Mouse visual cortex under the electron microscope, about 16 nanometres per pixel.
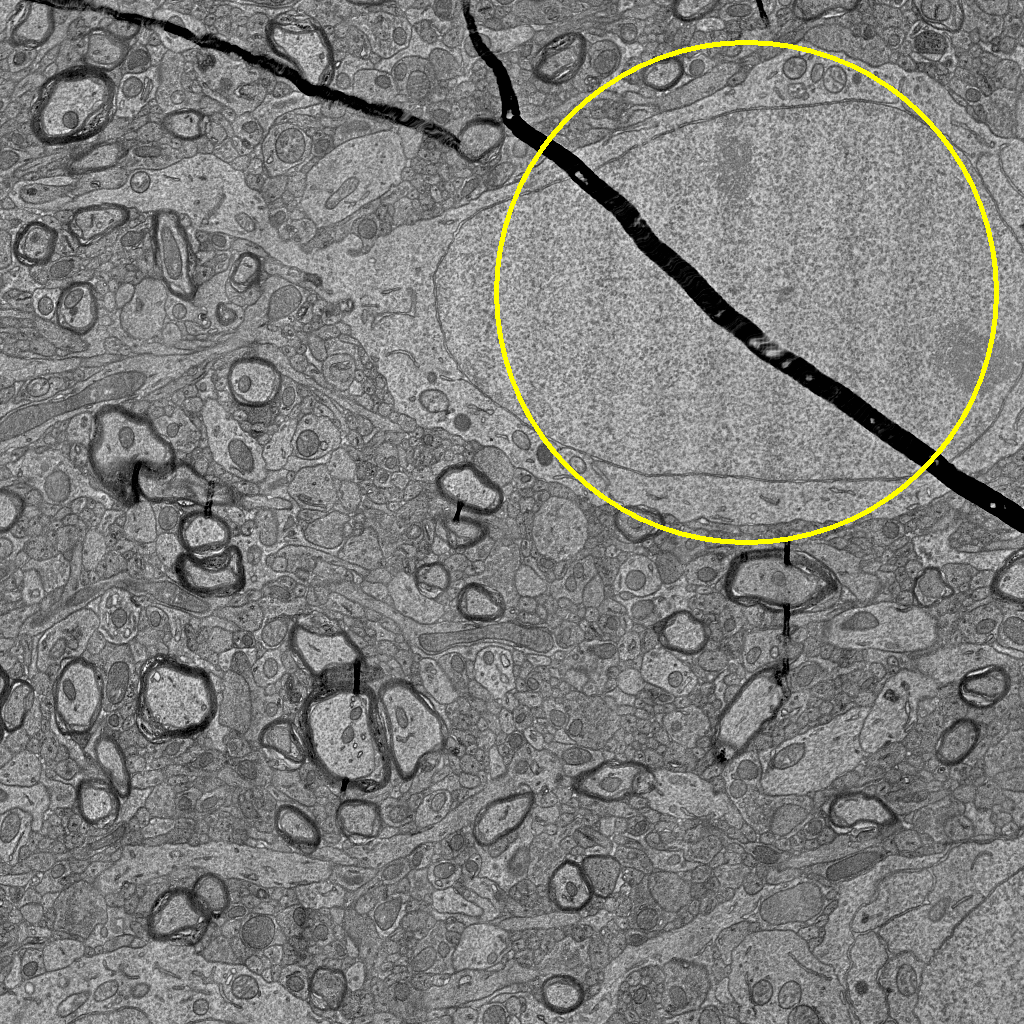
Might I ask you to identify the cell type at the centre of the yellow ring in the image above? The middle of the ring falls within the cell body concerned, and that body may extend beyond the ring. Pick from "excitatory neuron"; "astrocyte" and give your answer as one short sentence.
The centre of the ring falls on an excitatory neuron.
